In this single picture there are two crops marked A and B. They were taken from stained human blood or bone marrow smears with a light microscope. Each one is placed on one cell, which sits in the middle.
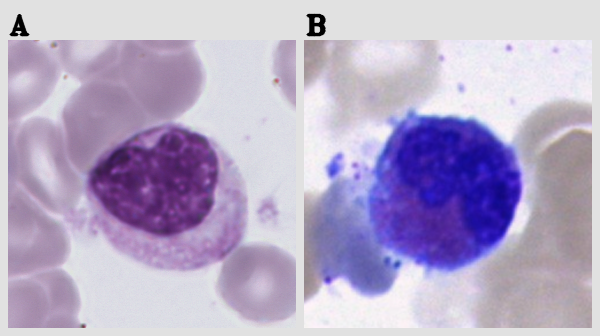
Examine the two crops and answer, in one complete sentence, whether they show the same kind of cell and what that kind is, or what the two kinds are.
No, crop A depicts a metamyelocyte; crop B depicts an eosinophil.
